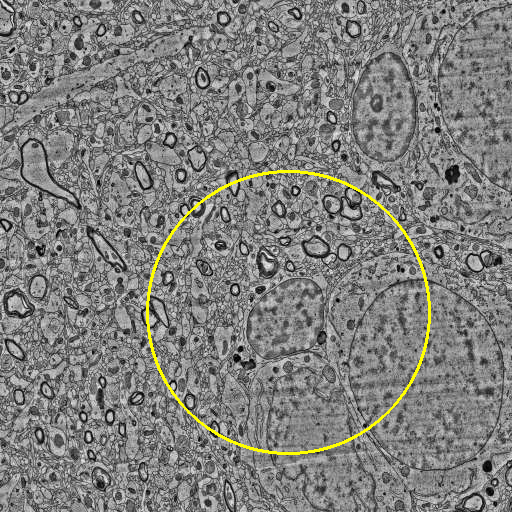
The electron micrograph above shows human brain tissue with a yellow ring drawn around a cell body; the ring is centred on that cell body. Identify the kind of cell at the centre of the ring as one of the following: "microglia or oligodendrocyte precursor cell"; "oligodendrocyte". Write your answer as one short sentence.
The cell at the centre of the ring is a microglial cell or oligodendrocyte precursor cell.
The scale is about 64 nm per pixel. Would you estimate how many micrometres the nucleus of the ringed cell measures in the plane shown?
Roughly 6 by 5 micrometres in this plane, for the nucleus of the ringed cell.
